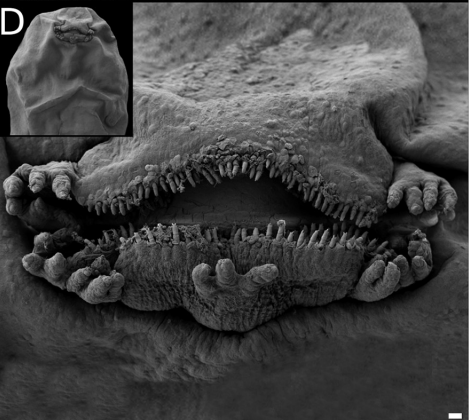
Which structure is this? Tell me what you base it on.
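Mouth opening framed by upper and lower lips bearing rows of small teeth. Finger-like papillae at the lateral corners and lower lip. That points to this answer: Larval oral disc.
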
